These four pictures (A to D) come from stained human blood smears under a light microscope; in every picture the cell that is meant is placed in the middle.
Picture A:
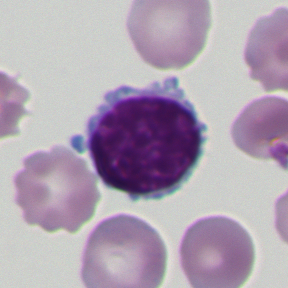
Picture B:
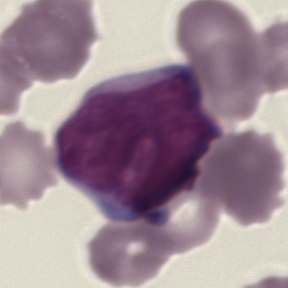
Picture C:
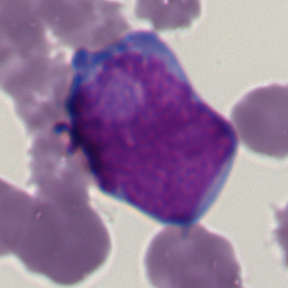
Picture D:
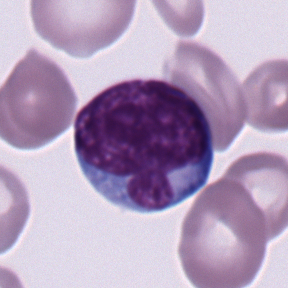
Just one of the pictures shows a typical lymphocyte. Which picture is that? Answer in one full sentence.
Picture A is the one that shows the typical lymphocyte.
